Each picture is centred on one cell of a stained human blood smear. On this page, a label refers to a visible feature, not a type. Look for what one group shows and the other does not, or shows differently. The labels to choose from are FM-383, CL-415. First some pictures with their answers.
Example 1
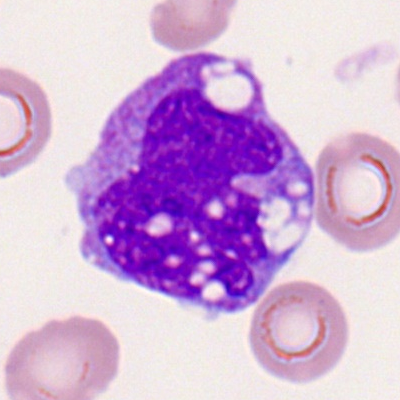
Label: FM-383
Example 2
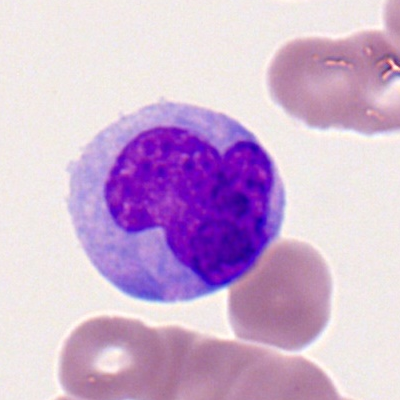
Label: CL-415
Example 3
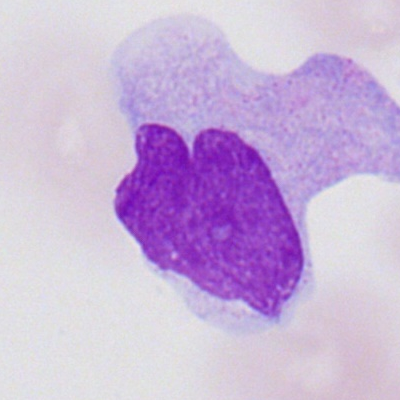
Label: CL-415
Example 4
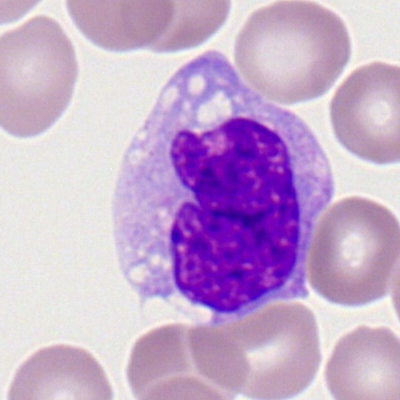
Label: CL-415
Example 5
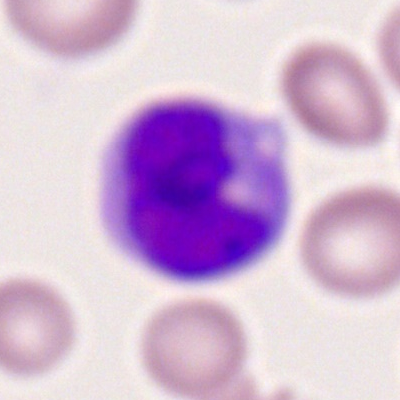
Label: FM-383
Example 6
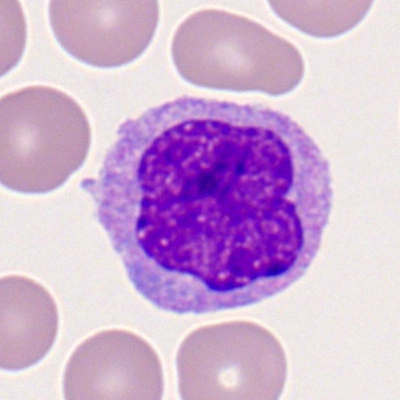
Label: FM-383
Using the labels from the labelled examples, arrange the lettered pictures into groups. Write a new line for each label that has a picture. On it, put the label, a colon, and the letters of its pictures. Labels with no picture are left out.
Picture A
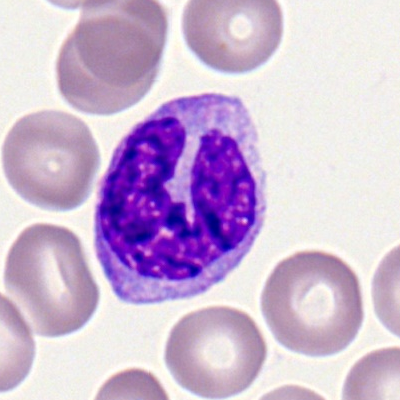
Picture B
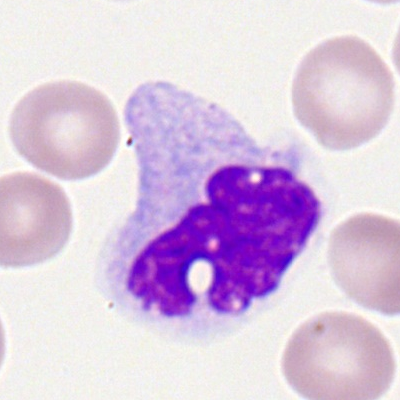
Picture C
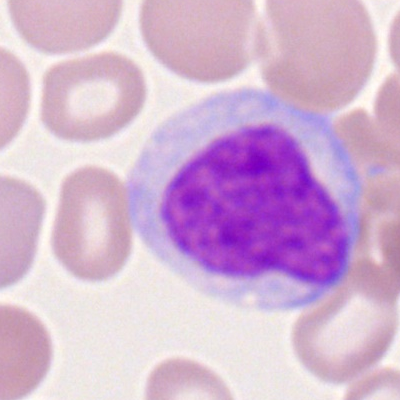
FM-383: A, C
CL-415: B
